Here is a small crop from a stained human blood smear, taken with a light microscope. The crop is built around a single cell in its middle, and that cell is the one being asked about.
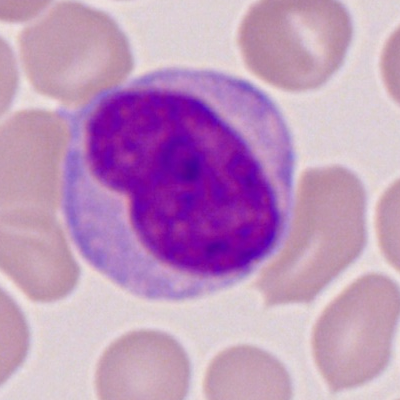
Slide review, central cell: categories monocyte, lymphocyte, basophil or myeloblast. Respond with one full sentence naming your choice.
This particular crop is centered on a monocyte.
